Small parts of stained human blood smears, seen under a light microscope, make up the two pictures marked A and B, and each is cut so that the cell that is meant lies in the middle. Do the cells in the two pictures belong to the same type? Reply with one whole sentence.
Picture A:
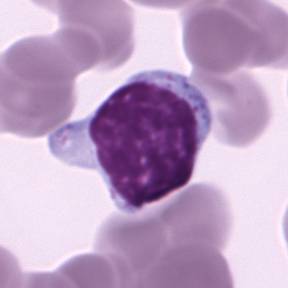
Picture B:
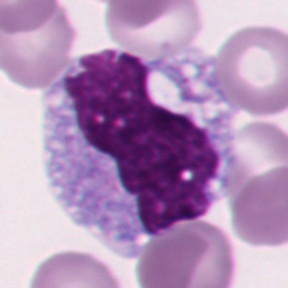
No, the types are not the same, since picture A shows a large granular lymphocyte and picture B a monocyte.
